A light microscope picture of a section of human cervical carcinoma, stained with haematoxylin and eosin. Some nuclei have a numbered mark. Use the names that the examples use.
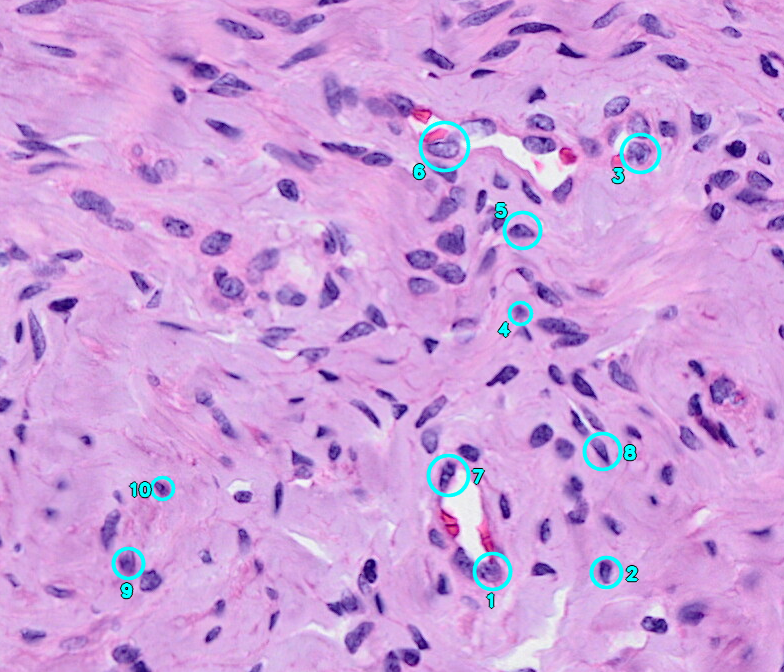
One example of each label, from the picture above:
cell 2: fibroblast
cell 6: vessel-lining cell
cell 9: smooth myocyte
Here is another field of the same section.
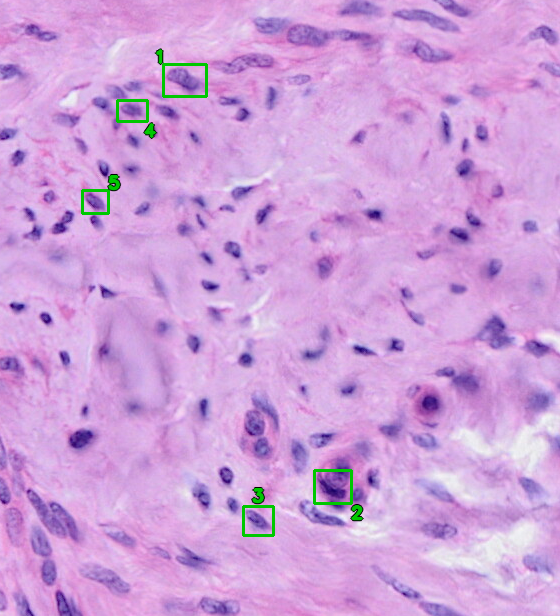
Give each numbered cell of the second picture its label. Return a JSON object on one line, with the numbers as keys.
{"1": "smooth myocyte", "2": "vessel-lining cell", "3": "fibroblast", "4": "smooth myocyte", "5": "smooth myocyte"}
